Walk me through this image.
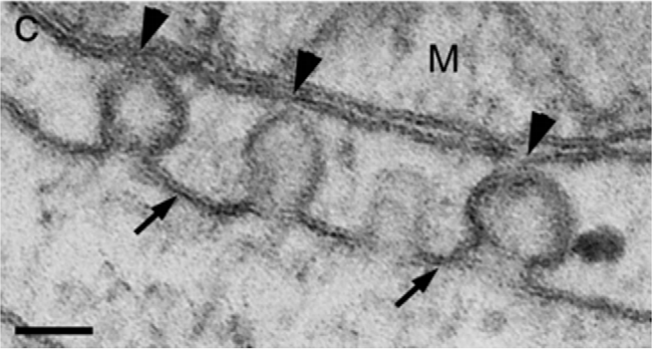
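A high-magnification electron micrograph shows the edge of a mitochondrion, with its double outer membrane, lying above a long strand of endoplasmic reticulum membrane. Several small round budding-like structures protrude from the reticulum membrane and their tops touch the outer membrane of the mitochondrion, forming close contact points between the two organelles.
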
